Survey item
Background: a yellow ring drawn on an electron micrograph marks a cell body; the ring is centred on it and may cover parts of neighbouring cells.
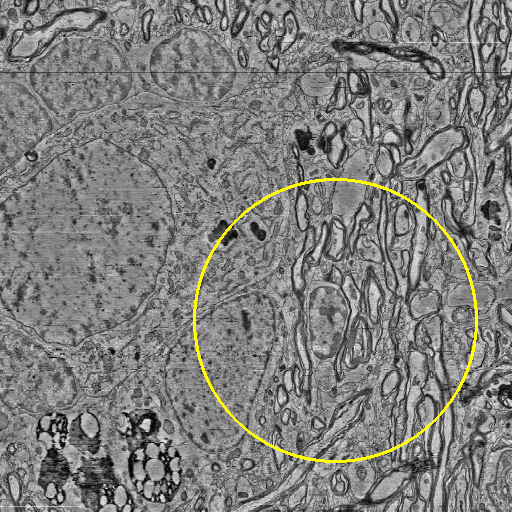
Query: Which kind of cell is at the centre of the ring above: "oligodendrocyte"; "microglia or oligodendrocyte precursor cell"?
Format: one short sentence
The cell in the middle of the ring is a microglial cell or oligodendrocyte precursor cell.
